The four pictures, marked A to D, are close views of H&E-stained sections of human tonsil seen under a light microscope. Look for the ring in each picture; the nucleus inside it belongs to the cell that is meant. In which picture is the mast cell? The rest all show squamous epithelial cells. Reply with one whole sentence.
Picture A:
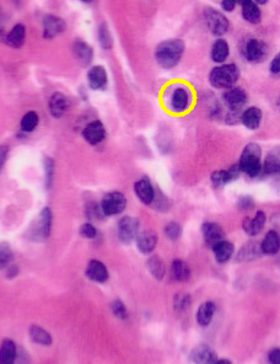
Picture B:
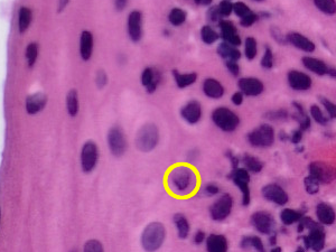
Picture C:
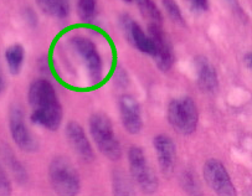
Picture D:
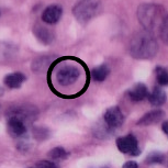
The cell in picture A is the mast cell.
